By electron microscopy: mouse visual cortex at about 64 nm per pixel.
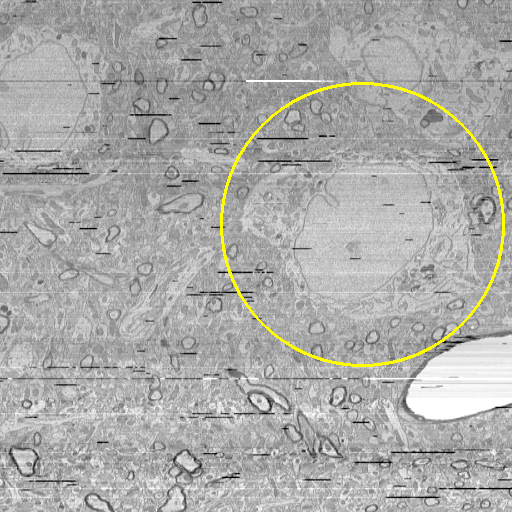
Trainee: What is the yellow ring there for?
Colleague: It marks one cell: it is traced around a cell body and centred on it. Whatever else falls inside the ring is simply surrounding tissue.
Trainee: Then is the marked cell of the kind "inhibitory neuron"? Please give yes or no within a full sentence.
Yes, the marked cell at the centre of the yellow ring is of the kind asked about.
